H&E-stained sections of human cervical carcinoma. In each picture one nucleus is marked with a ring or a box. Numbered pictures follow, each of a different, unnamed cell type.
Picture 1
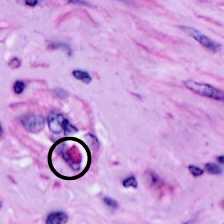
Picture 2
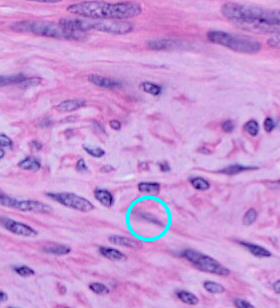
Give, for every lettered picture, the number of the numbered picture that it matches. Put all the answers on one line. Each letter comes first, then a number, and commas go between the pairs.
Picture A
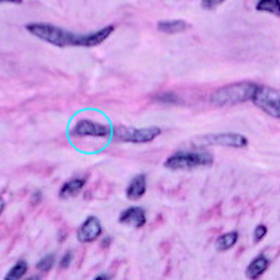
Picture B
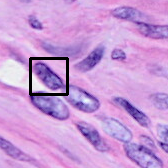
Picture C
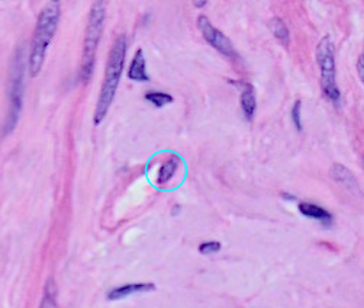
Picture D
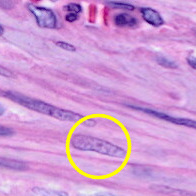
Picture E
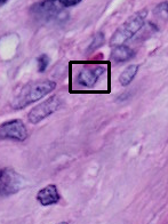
A 2, B 1, C 1, D 2, E 1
